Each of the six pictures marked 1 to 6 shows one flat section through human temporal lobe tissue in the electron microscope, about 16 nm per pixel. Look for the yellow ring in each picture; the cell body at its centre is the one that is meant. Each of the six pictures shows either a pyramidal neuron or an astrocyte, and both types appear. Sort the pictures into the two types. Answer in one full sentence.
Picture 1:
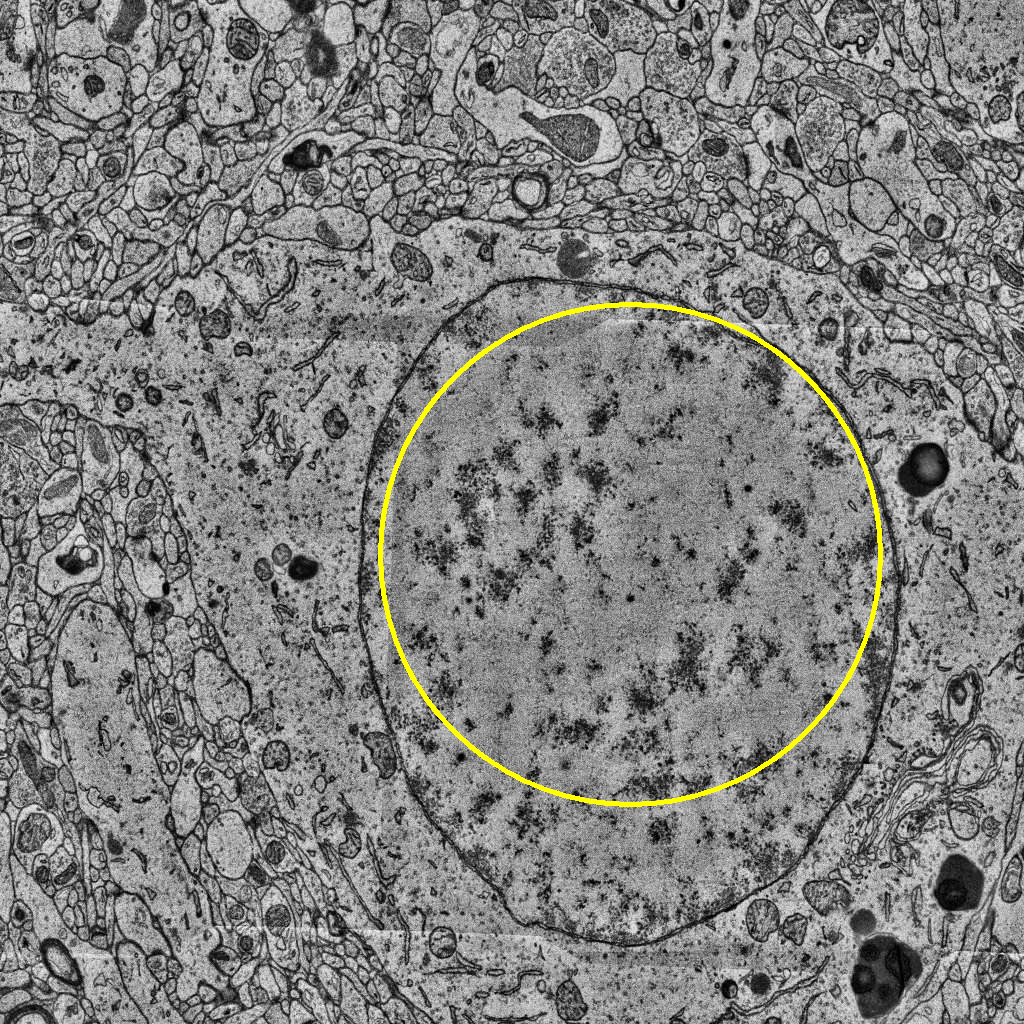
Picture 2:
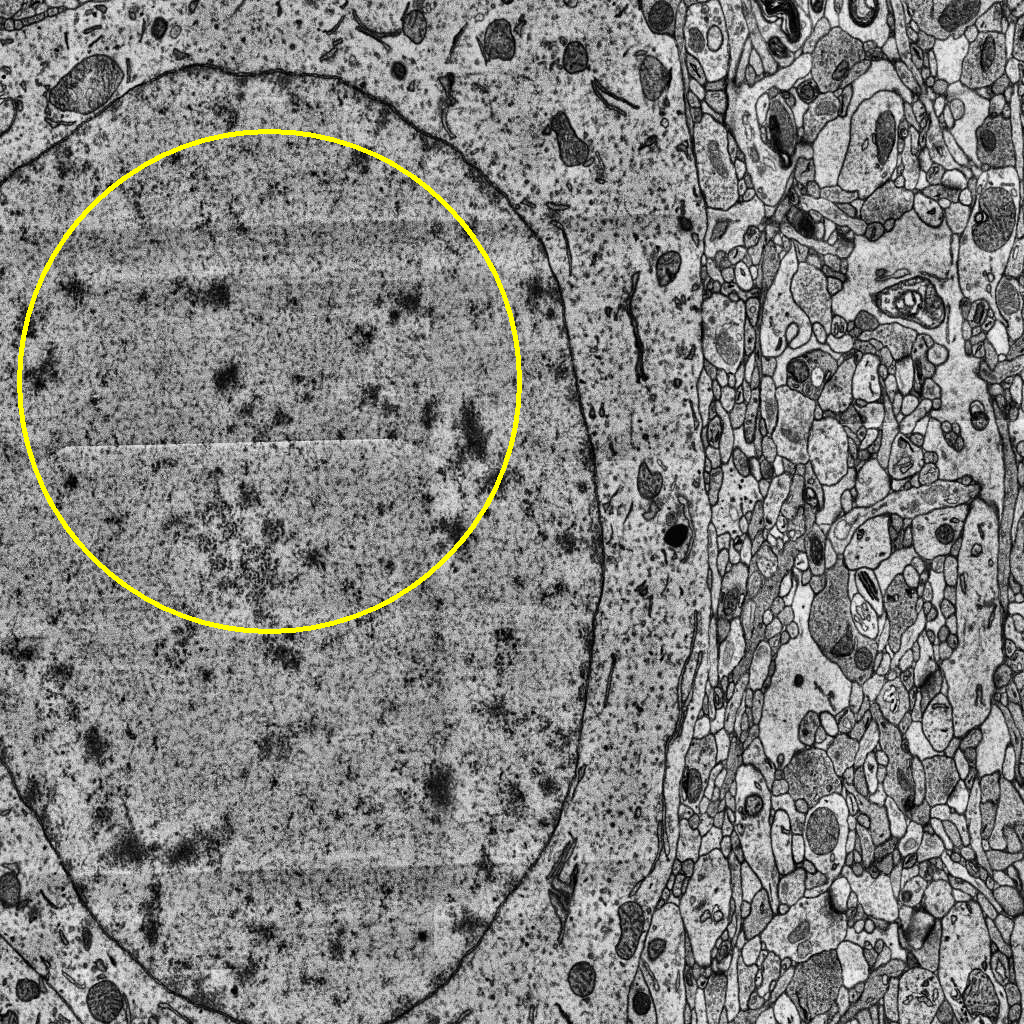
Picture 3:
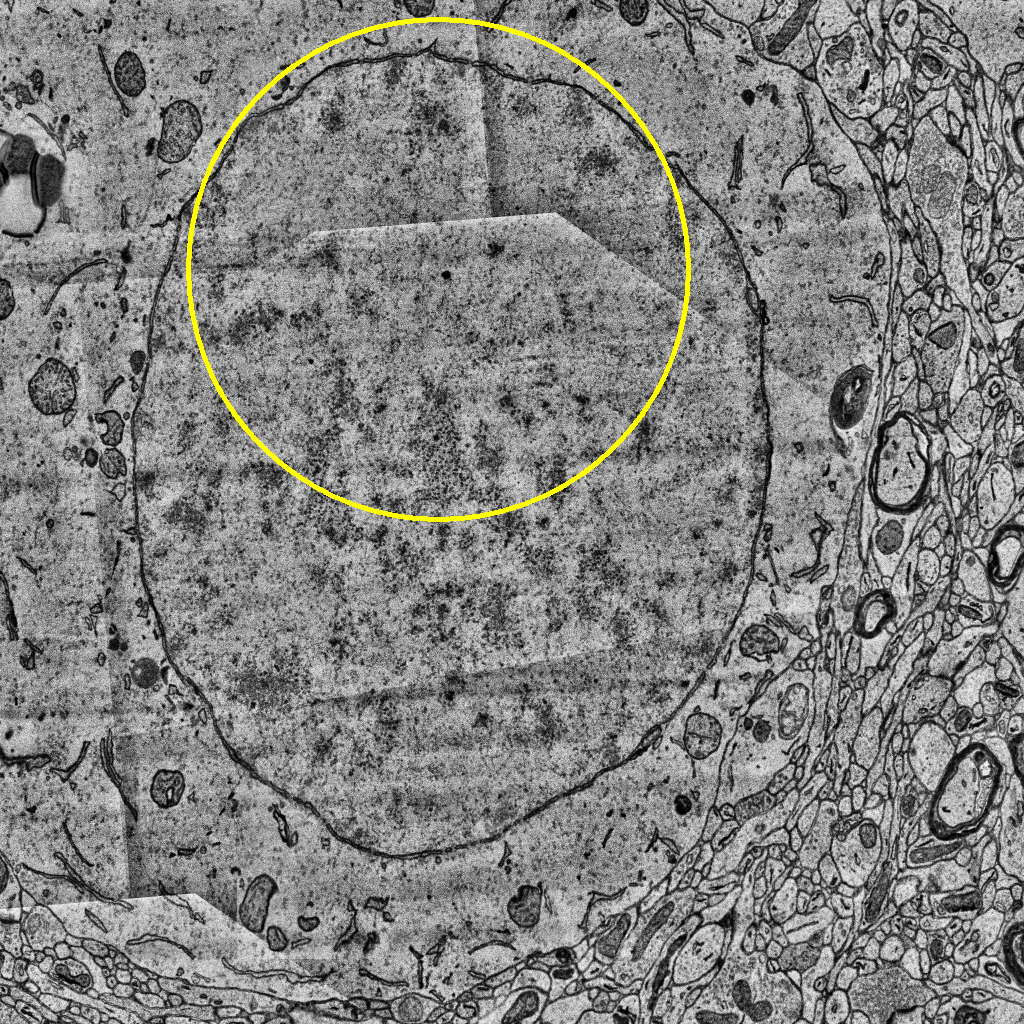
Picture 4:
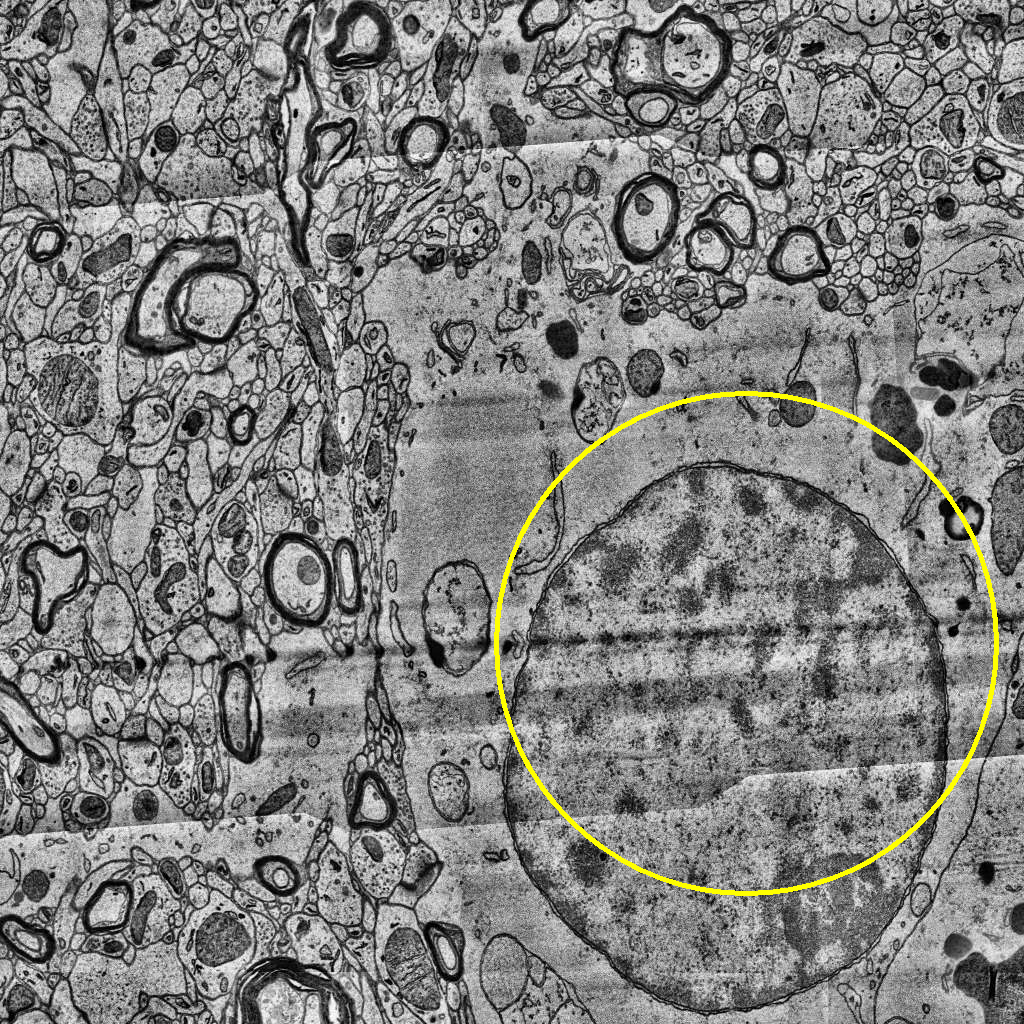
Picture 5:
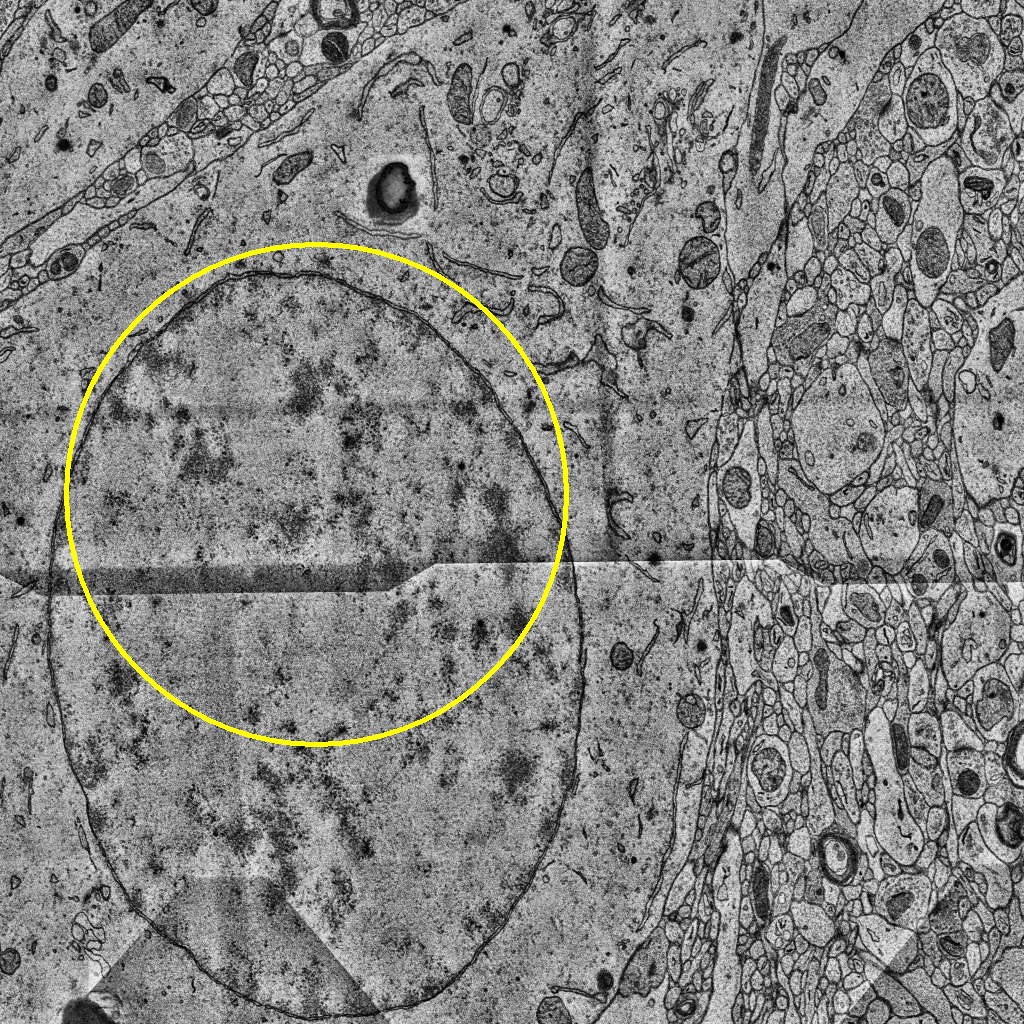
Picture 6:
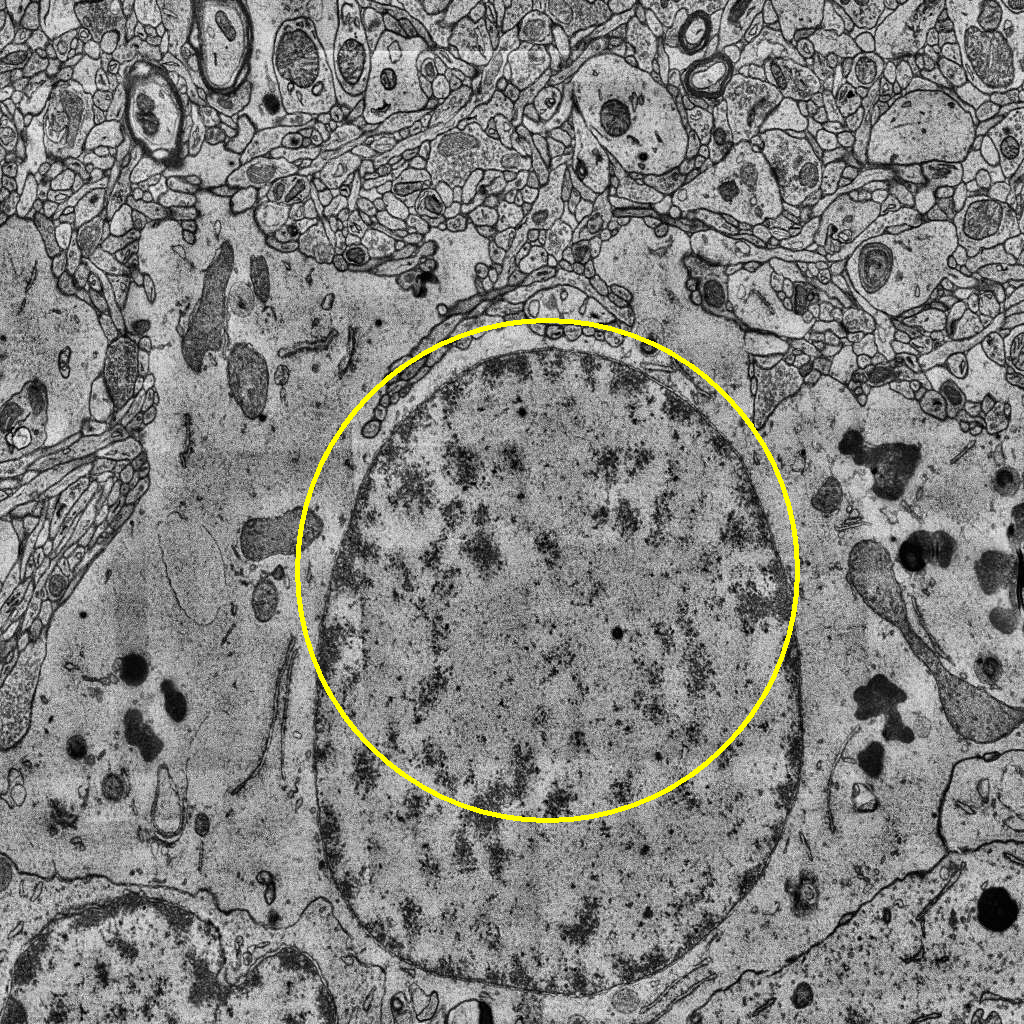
Pictures 1, 2, 3 and 5 show pyramidal neurons, while pictures 4 and 6 show astrocytes.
